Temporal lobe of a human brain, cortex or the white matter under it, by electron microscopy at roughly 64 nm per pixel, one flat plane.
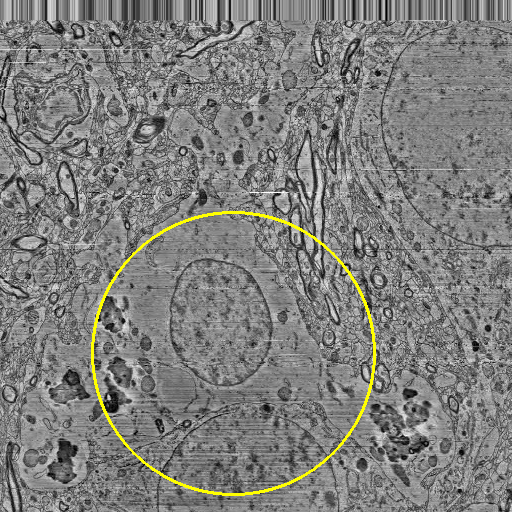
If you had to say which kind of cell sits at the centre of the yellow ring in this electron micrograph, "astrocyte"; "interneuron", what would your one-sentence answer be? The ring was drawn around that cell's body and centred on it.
The cell sitting at the centre of the ring is an astrocyte.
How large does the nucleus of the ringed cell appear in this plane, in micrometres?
In this plane, the nucleus is roughly 9 by 6 micrometres.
